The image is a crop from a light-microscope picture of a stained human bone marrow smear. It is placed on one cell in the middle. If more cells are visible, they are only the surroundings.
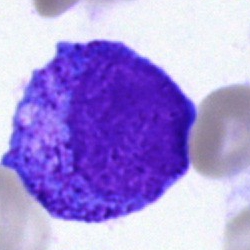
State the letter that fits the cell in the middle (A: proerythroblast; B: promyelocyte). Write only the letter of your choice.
B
